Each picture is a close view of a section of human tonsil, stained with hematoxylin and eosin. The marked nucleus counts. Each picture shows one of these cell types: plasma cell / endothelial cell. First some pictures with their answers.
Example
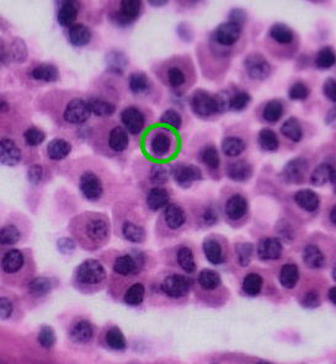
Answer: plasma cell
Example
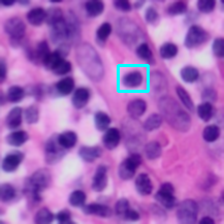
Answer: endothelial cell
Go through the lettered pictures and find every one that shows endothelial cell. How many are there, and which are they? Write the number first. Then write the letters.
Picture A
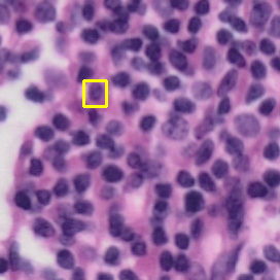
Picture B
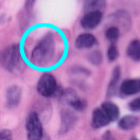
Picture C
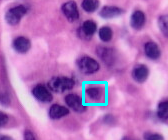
2, namely A, B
